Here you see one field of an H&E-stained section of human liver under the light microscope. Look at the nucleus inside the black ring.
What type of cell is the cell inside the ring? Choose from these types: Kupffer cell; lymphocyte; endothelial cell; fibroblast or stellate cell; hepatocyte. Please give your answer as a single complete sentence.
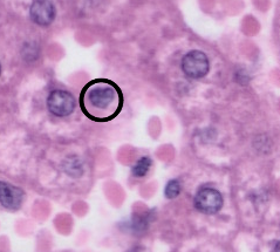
In the context of this tissue, the cell inside the ring is a fibroblast or stellate cell.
